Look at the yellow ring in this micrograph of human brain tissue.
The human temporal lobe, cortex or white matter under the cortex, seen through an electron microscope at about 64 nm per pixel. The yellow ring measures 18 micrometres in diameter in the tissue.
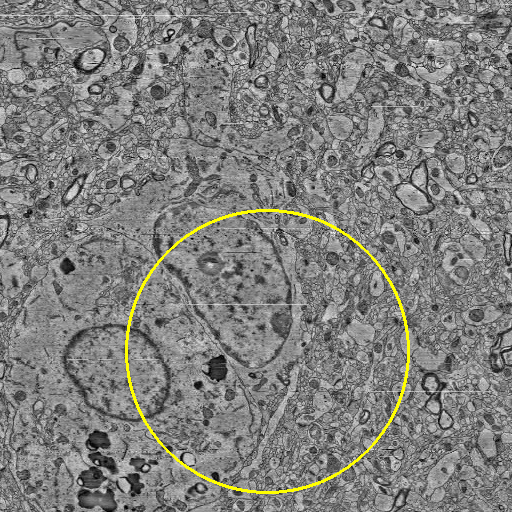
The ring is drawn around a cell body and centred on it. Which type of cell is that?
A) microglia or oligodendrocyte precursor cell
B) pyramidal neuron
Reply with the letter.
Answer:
A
